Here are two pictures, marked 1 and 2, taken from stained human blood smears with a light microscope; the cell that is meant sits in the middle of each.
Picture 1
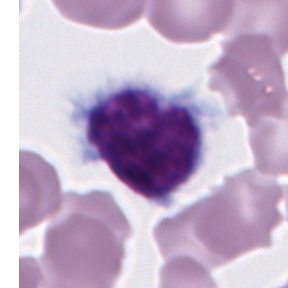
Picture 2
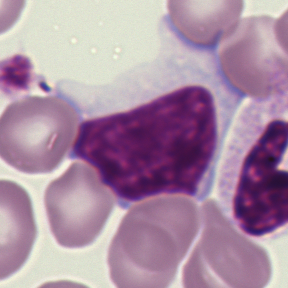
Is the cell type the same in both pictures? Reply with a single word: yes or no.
no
